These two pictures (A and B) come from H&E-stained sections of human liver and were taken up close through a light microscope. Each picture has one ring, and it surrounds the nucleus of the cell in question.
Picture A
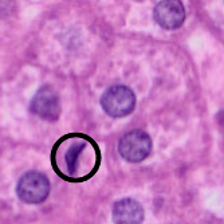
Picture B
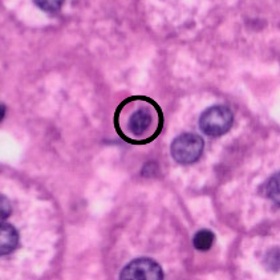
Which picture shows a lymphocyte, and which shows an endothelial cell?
A: endothelial cell
B: lymphocyte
